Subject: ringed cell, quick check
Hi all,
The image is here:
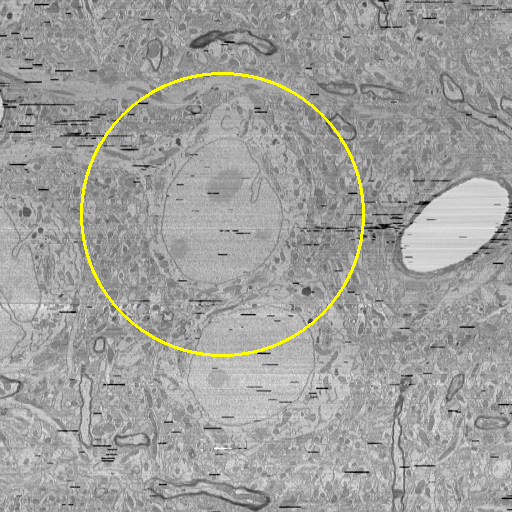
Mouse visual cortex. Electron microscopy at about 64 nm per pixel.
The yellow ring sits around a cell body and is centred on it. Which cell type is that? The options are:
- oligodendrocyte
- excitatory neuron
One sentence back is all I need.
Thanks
That ringed cell is an excitatory neuron.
